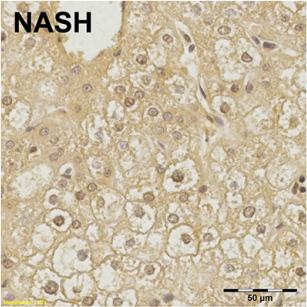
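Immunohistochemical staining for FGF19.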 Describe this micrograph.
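Liver with hepatocytes that are markedly enlarged and rounded, their cytoplasm largely cleared, pale and finely reticulated, with only faint brown staining. Round nuclei lie centrally within the cleared cells and stand out against the pale cytoplasm. Cell borders are distinct, giving a mosaic of swollen cells. A vessel lumen appears at the upper edge. Small elongated nuclei lie between the hepatocytes along the sinusoids. Overall staining is weaker and patchier than in the surrounding brown granular cytoplasm of less affected cells.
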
